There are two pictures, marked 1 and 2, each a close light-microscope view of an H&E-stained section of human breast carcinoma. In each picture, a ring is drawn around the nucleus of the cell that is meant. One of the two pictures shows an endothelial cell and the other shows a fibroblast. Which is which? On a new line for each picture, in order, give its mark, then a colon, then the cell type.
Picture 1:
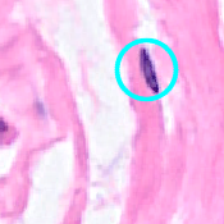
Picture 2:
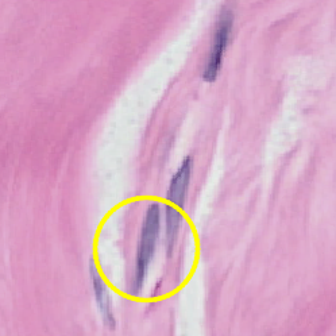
1: fibroblast
2: endothelial cell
